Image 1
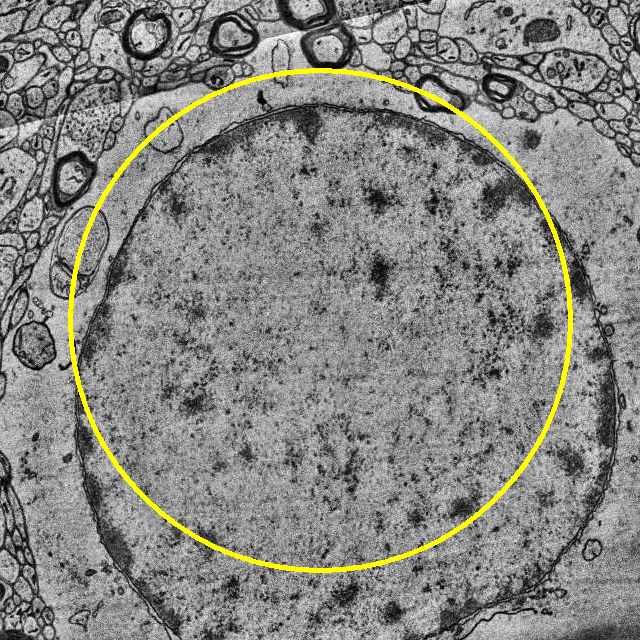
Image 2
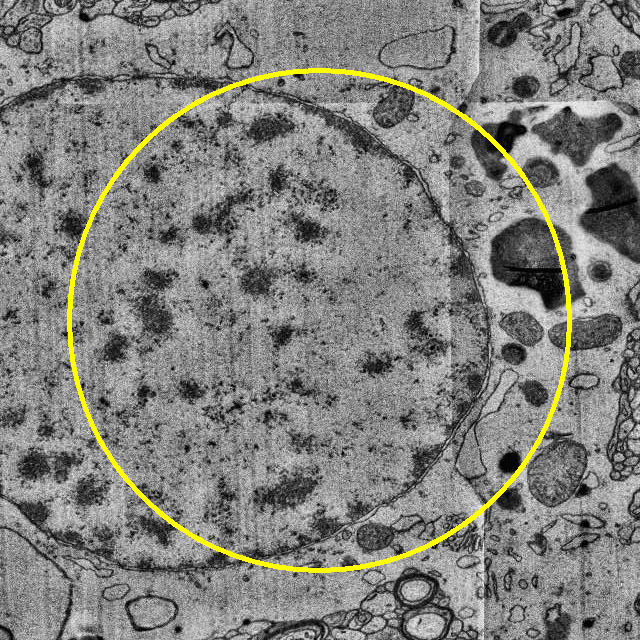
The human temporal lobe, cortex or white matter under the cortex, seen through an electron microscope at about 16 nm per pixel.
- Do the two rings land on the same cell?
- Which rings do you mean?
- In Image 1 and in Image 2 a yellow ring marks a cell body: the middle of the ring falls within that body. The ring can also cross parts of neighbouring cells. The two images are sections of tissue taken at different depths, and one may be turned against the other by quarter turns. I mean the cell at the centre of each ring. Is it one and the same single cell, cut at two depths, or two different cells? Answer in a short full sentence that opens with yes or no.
No, the marked cells are two, not one.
